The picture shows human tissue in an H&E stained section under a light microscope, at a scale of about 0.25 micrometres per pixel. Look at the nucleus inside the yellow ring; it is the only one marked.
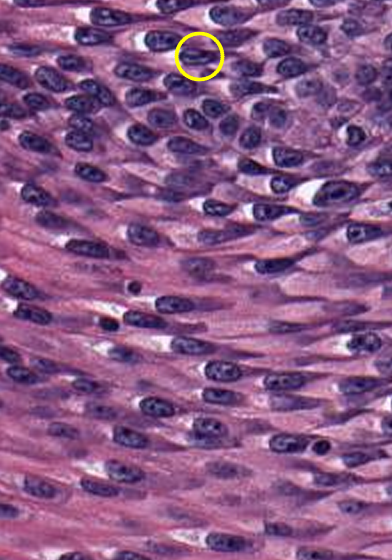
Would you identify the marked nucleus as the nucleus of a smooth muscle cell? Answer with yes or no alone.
no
